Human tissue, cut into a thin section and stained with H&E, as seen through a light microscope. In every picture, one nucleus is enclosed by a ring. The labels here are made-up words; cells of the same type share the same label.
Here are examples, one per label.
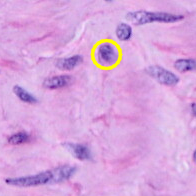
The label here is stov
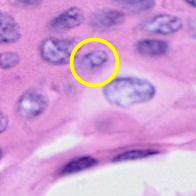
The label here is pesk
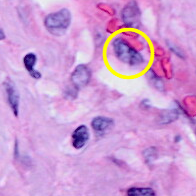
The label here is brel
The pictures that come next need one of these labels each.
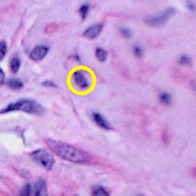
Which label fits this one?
stov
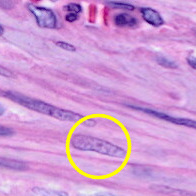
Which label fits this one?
stov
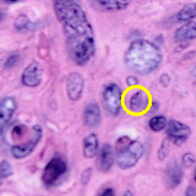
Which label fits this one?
pesk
